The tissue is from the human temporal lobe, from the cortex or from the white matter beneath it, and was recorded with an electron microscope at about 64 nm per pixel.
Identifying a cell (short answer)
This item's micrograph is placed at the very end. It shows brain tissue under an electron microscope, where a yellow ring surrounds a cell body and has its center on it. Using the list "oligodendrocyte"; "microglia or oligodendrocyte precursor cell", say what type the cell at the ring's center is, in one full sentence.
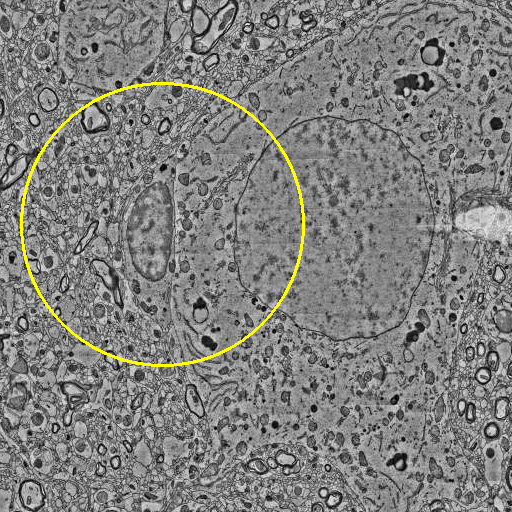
This picture shows an oligodendrocyte at the center of the yellow ring drawn on it.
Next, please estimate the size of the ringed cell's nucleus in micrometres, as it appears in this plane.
In this plane the nucleus is about 6 micrometres by 3.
